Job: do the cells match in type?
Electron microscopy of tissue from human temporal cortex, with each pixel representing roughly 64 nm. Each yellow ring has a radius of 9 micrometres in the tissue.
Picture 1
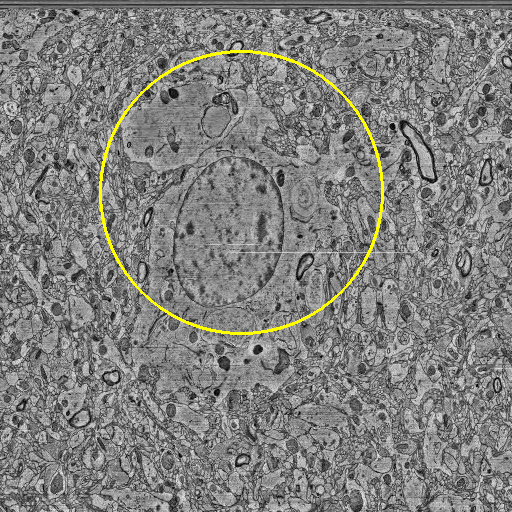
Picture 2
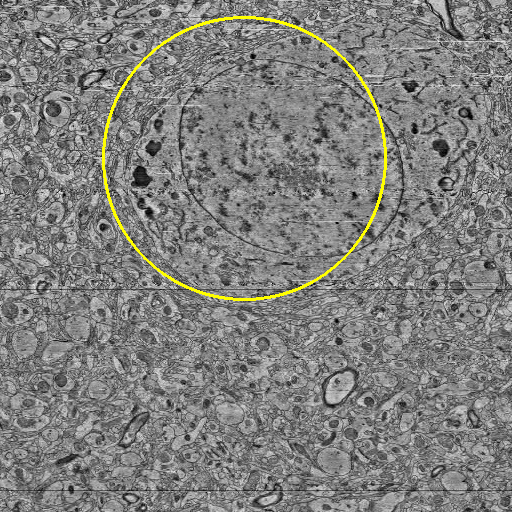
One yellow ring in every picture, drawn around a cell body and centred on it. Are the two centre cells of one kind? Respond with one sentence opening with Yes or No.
No, the ringed cells in the two pictures are of two separate kinds.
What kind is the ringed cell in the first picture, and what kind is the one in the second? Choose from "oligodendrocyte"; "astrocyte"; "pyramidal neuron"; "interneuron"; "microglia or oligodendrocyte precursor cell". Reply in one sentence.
The first cell is an astrocyte; the second is a pyramidal neuron.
